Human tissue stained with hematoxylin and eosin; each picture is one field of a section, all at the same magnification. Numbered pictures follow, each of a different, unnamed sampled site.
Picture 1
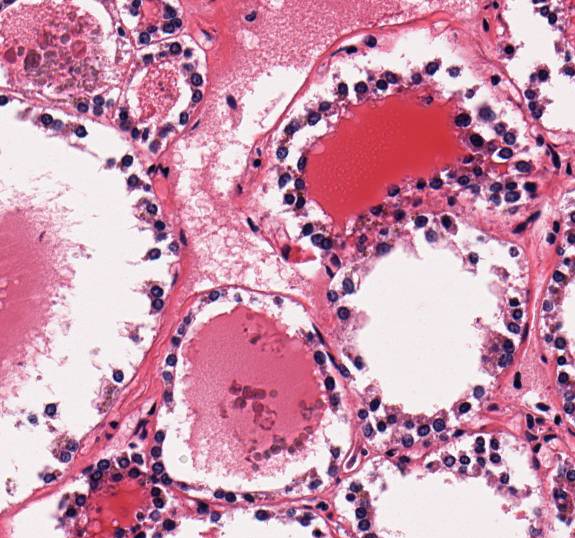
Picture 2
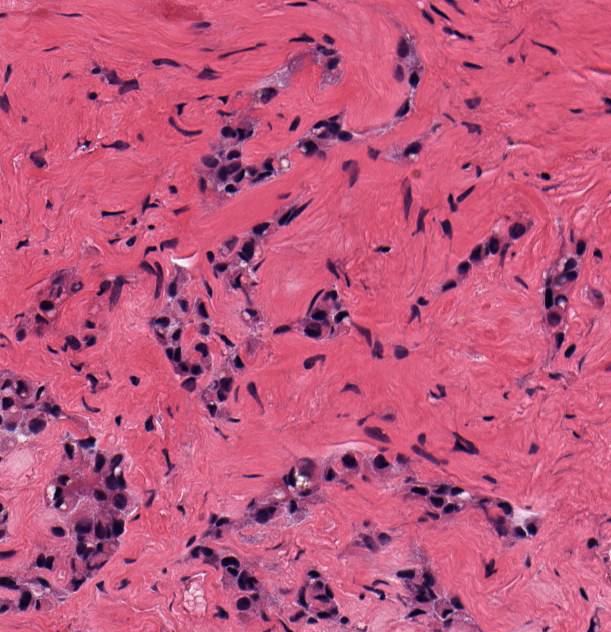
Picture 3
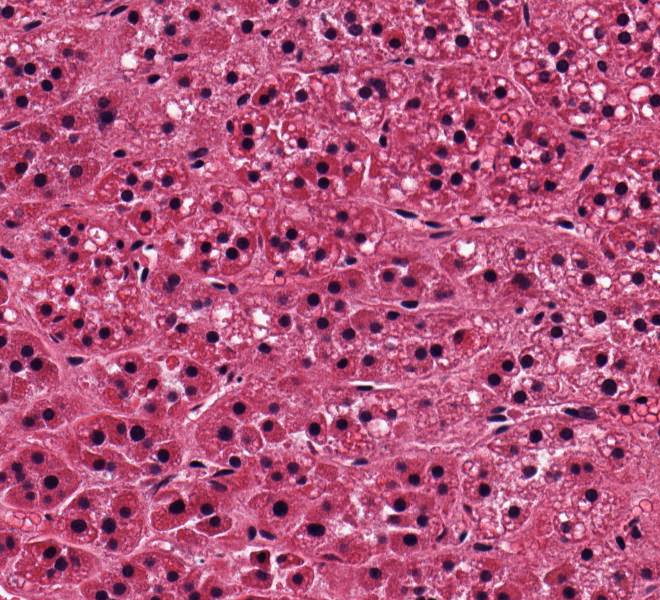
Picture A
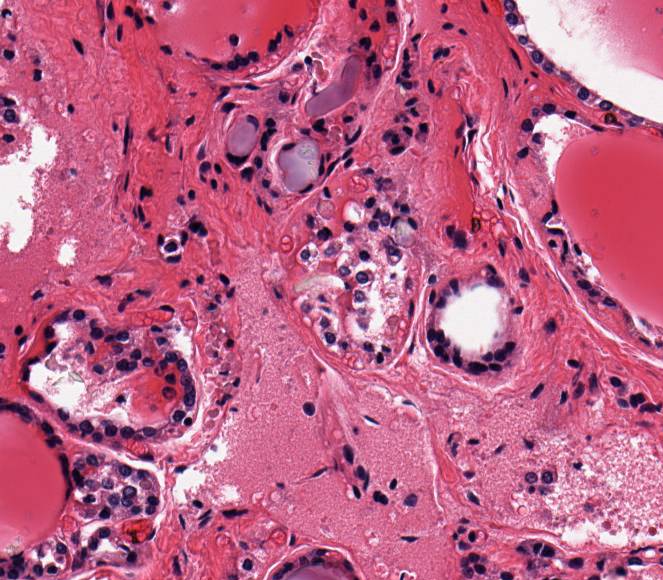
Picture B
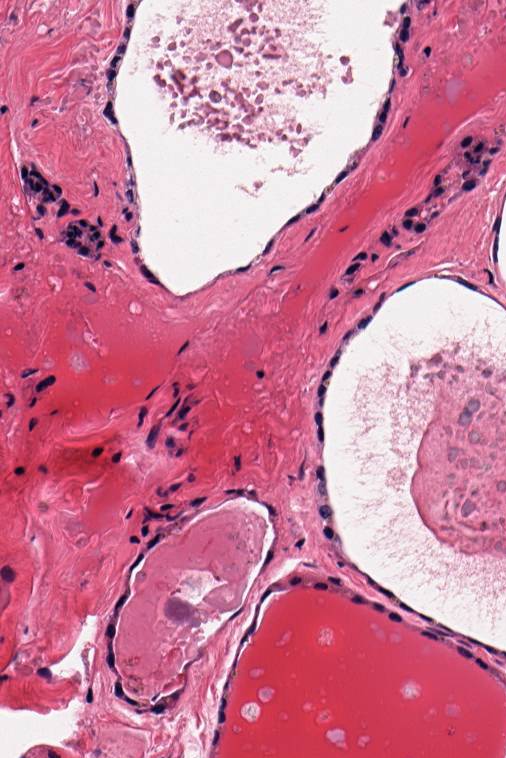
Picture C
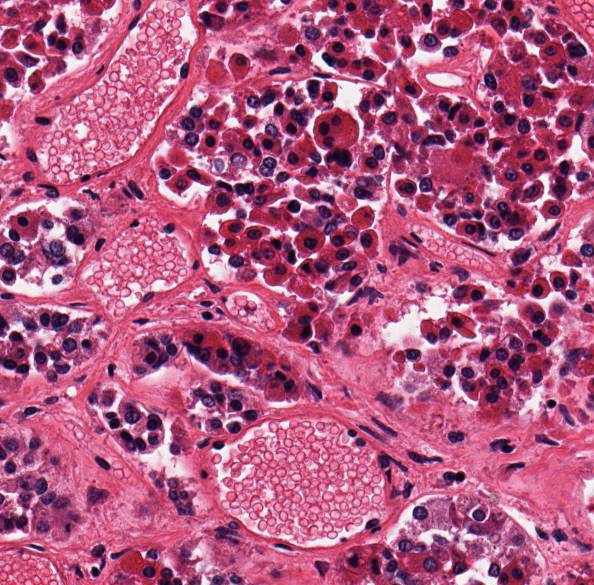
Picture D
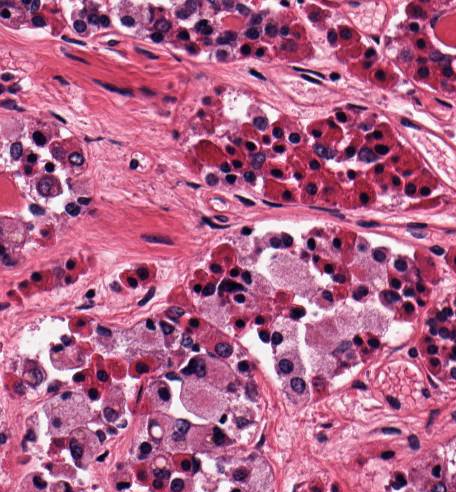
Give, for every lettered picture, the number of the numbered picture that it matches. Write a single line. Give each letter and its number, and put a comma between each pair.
A 1, B 1, C 2, D 2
